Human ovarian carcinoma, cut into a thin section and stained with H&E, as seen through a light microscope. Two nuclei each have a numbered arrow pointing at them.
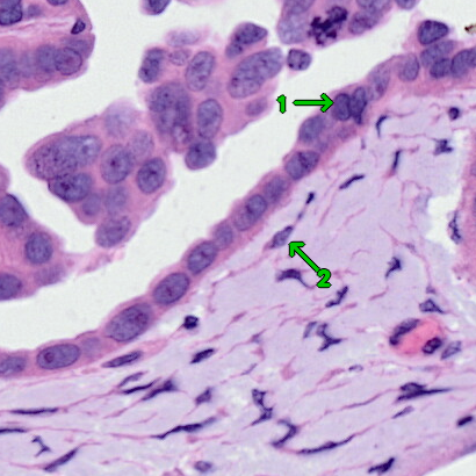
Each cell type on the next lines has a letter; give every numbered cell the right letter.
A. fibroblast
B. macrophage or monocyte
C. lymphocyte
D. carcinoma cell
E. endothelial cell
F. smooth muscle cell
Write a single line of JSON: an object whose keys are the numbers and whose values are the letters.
{"1": "D", "2": "A"}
